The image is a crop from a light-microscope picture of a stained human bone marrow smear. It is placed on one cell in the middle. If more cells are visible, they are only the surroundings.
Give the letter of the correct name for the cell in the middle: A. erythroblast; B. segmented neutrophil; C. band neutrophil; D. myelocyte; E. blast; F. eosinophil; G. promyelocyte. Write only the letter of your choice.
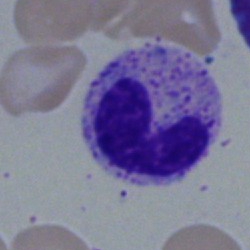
C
